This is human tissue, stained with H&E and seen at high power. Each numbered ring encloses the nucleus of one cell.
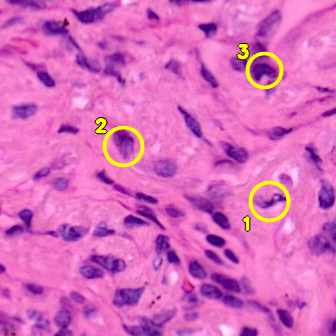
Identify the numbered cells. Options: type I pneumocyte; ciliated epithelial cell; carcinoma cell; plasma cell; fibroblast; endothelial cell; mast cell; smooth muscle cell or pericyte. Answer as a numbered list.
1. fibroblast
2. plasma cell
3. plasma cell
